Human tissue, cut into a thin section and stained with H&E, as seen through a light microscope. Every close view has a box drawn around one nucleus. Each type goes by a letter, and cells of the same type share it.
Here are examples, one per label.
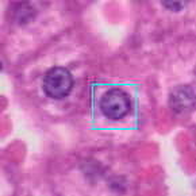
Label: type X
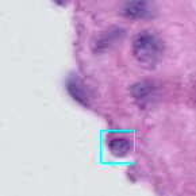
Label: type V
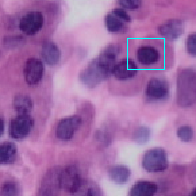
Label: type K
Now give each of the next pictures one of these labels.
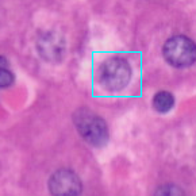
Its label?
type X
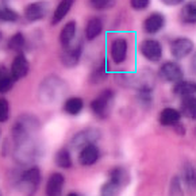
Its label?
type V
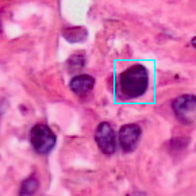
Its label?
type K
